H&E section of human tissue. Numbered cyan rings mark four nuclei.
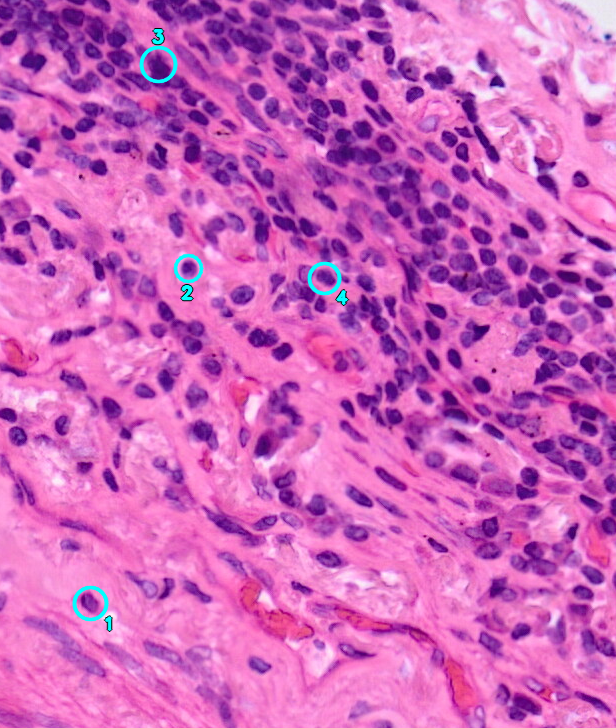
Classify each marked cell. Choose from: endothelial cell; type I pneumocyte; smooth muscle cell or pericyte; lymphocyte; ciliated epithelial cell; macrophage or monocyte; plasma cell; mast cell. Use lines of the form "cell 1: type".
cell 1: mast cell
cell 2: lymphocyte
cell 3: lymphocyte
cell 4: lymphocyte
